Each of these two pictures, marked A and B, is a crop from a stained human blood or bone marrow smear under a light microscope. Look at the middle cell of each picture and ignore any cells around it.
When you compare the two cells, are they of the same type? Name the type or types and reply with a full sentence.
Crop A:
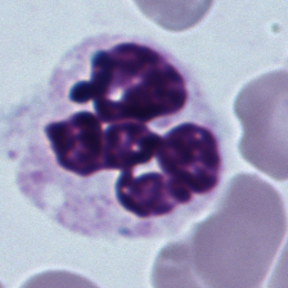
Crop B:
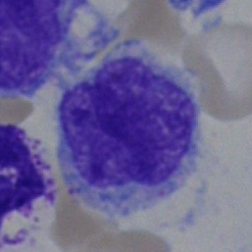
No, it is a segmented neutrophil in crop A and a monocyte in crop B.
